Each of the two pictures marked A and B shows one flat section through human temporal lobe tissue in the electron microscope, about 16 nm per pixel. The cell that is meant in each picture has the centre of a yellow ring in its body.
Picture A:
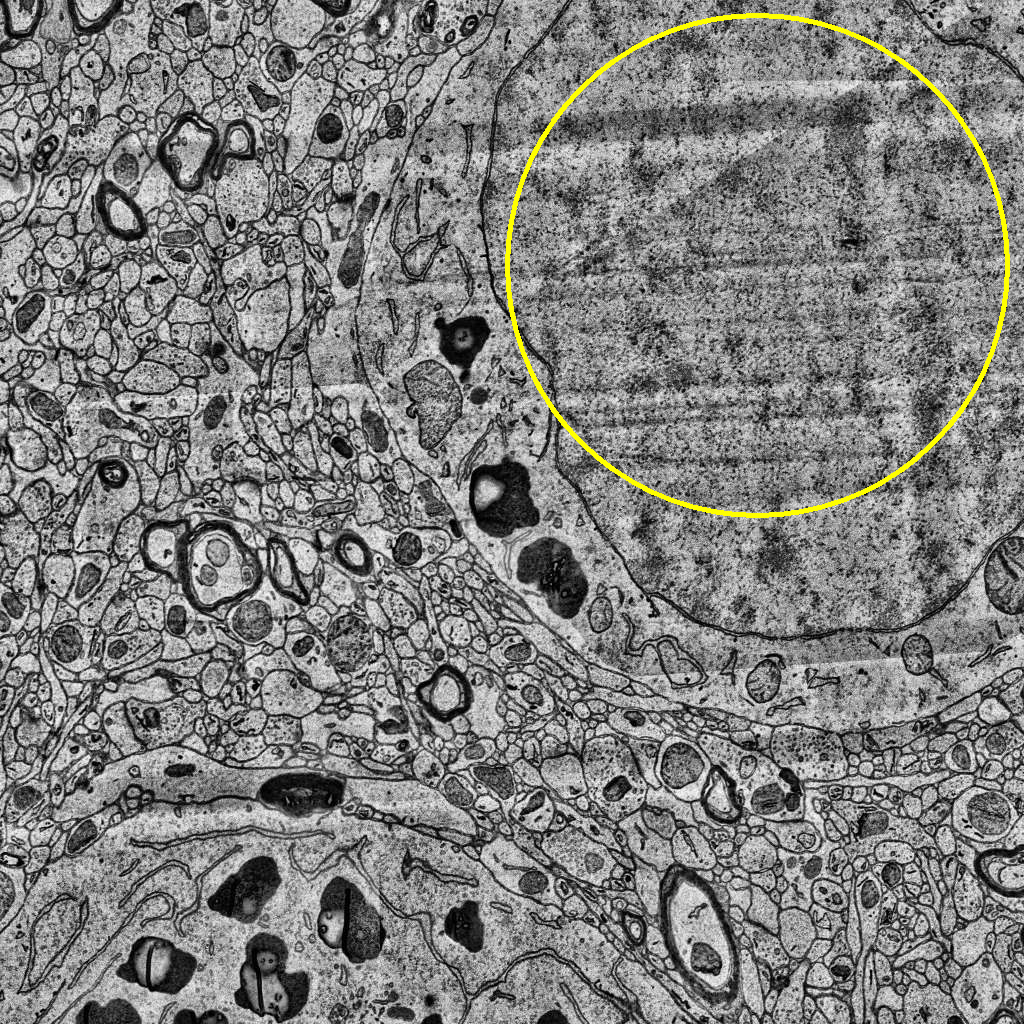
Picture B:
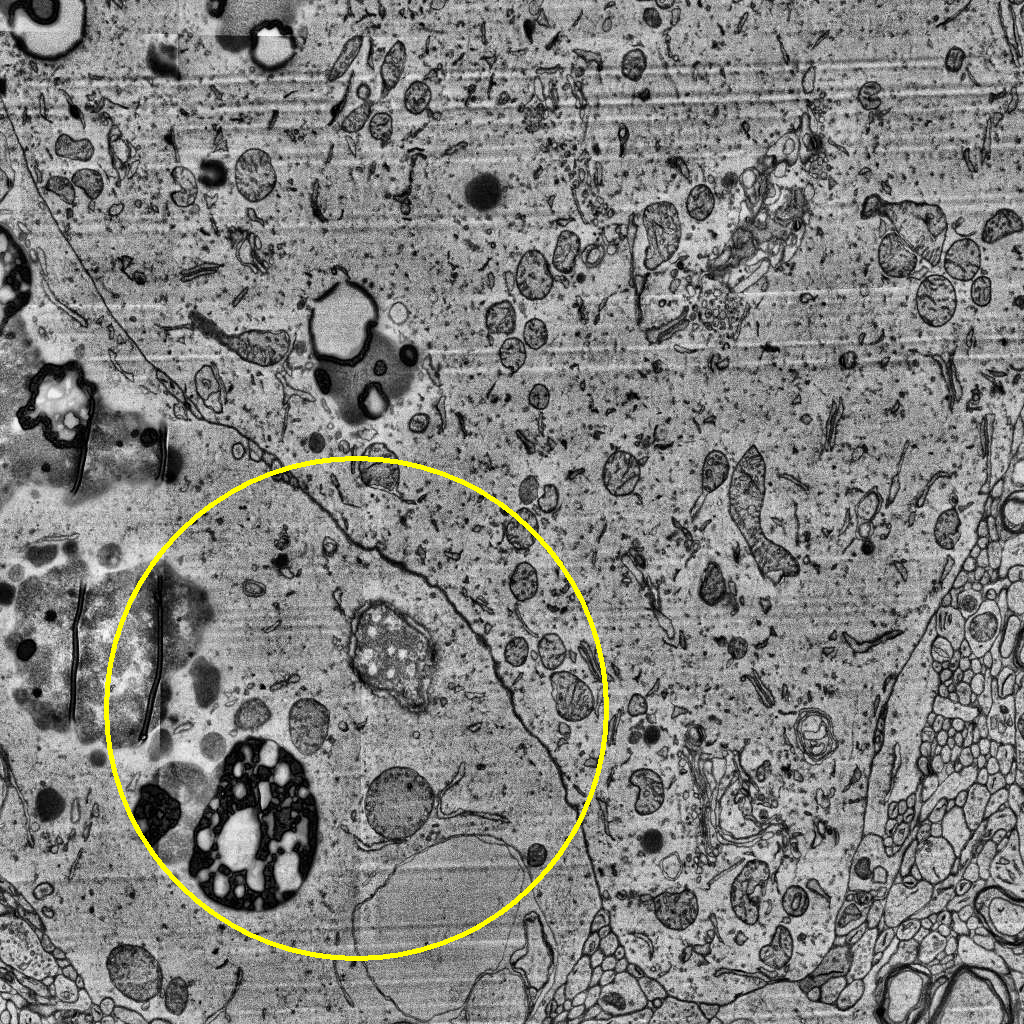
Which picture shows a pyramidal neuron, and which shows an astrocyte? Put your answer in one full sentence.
Picture B shows an astrocyte, while picture A shows a pyramidal neuron.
